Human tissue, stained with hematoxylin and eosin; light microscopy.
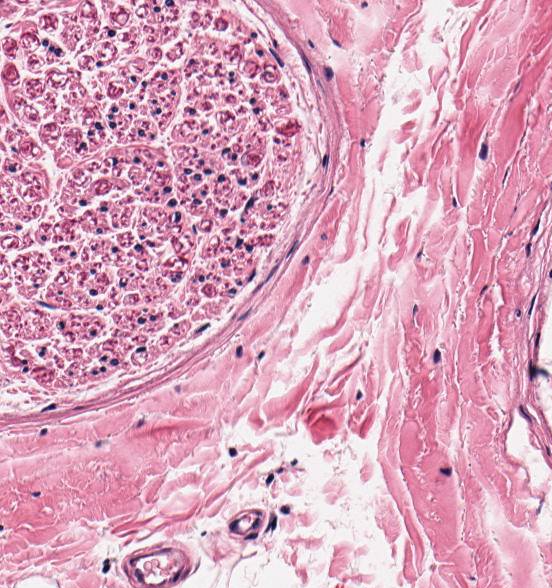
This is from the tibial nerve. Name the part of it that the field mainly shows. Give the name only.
epineurium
